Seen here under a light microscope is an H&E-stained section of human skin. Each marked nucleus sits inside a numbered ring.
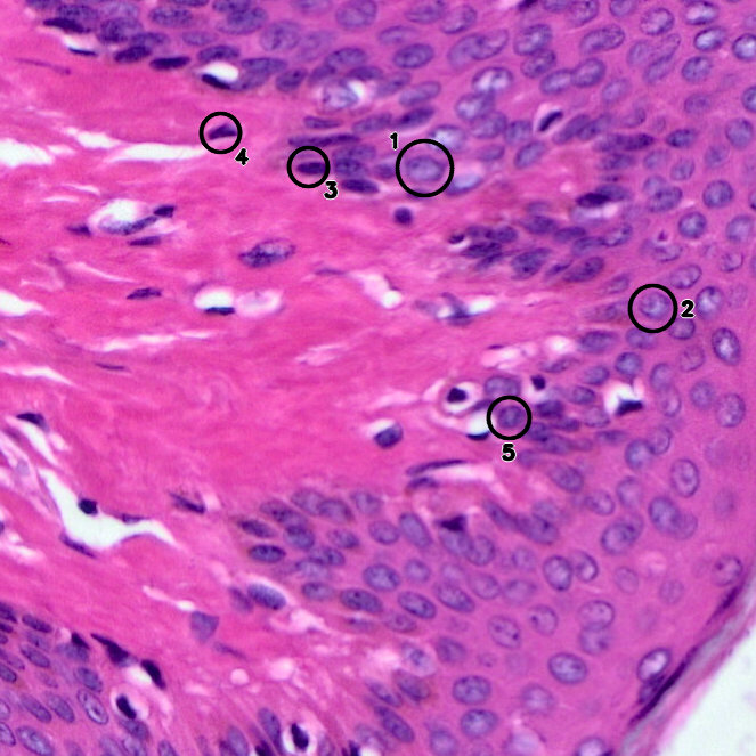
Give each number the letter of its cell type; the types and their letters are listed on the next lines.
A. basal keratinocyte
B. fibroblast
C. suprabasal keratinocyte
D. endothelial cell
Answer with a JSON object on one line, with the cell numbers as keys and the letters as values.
{"1": "A", "2": "C", "3": "A", "4": "B", "5": "A"}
